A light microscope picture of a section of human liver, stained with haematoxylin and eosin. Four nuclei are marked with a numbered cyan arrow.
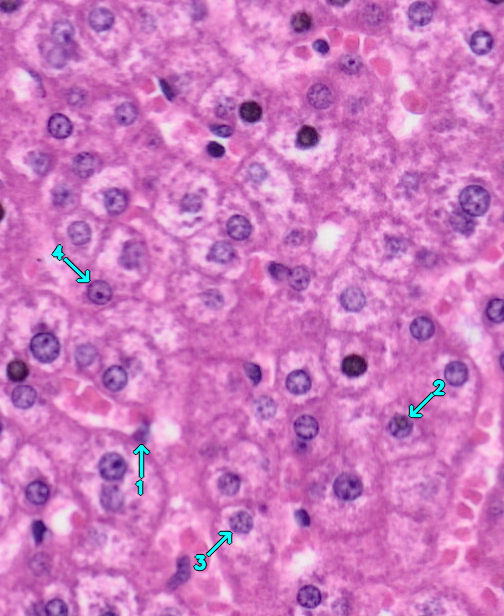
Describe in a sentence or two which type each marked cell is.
Cell 1 is an endothelial cell, cell 2 is a hepatocyte, cell 3 is a hepatocyte and cell 4 is a hepatocyte.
